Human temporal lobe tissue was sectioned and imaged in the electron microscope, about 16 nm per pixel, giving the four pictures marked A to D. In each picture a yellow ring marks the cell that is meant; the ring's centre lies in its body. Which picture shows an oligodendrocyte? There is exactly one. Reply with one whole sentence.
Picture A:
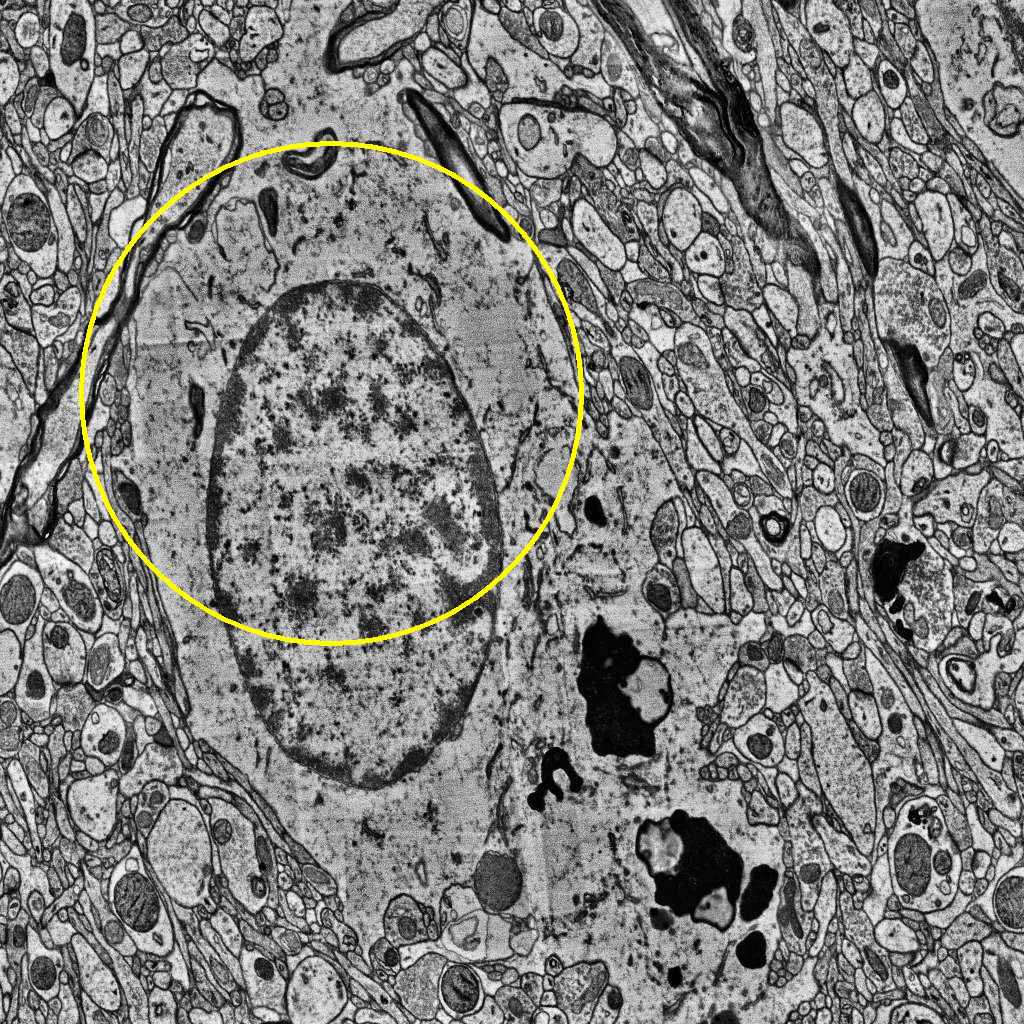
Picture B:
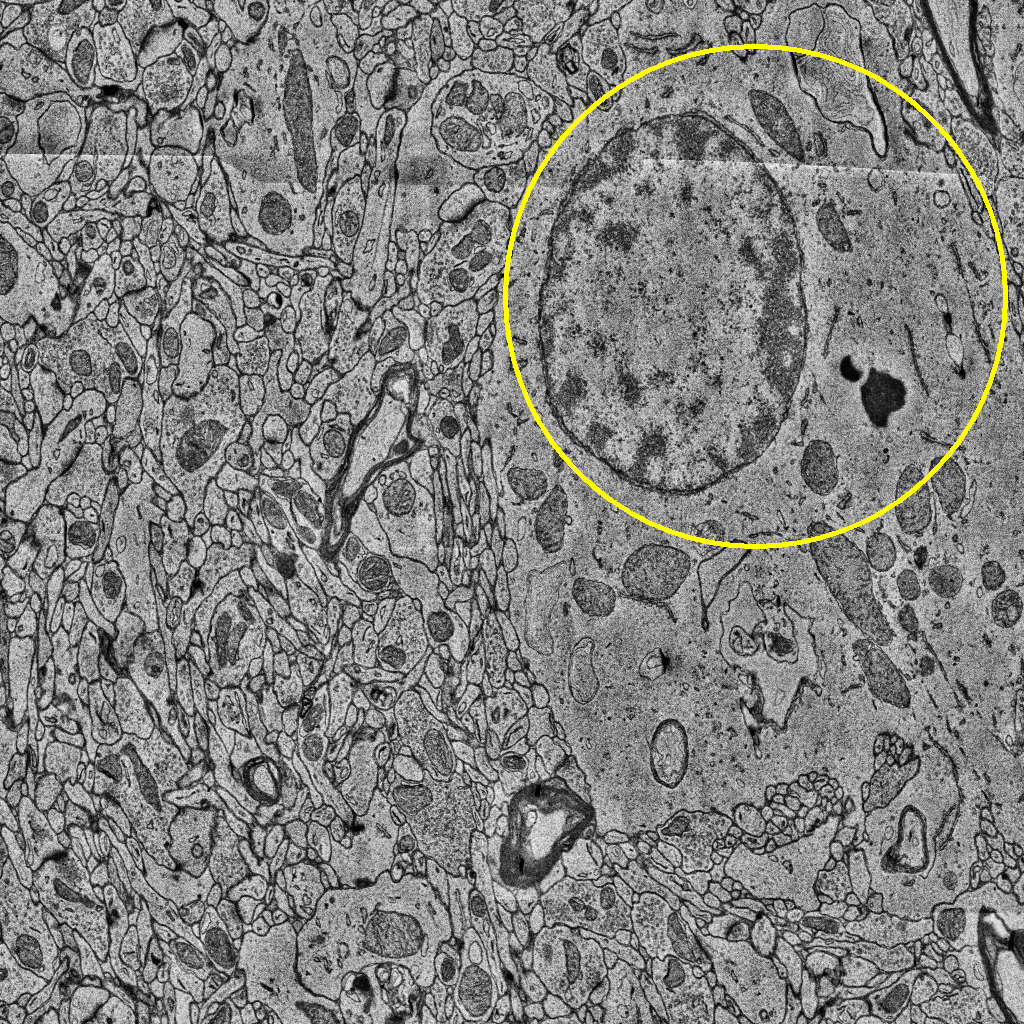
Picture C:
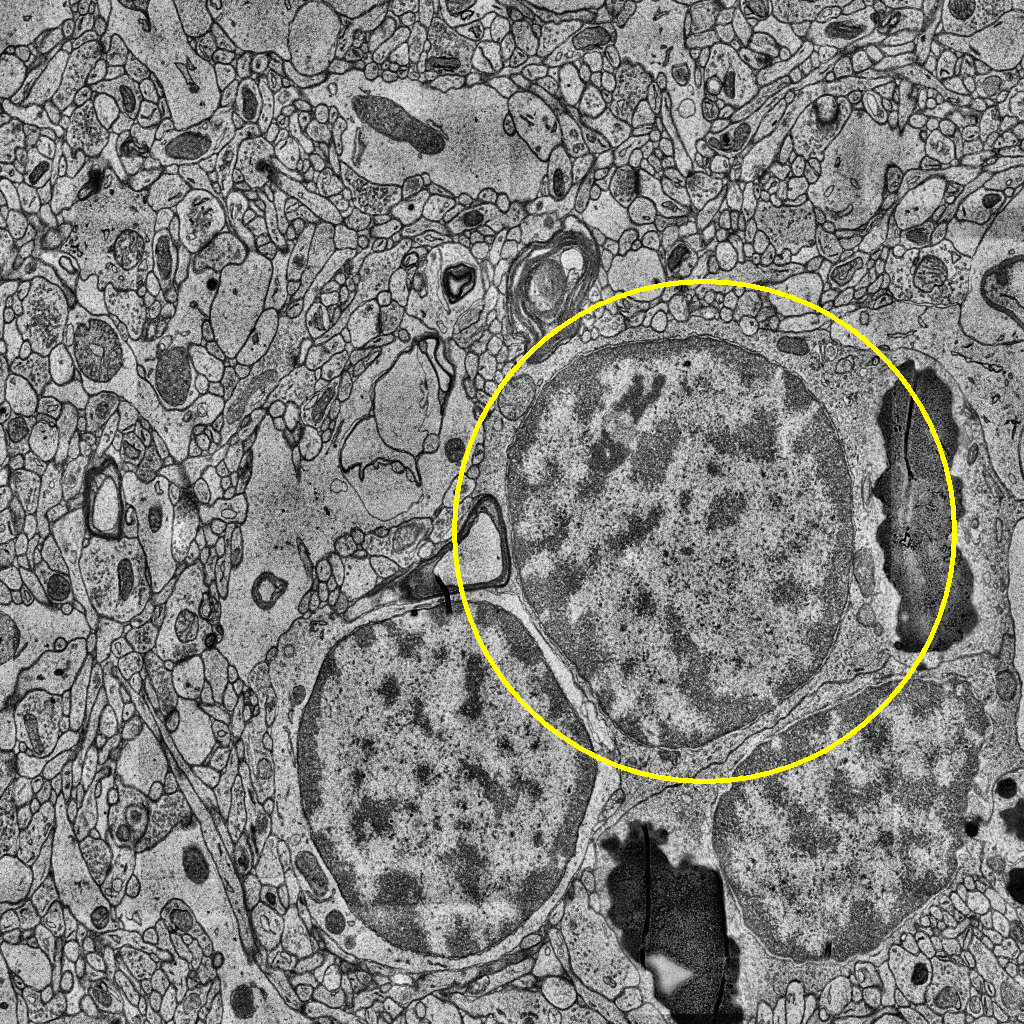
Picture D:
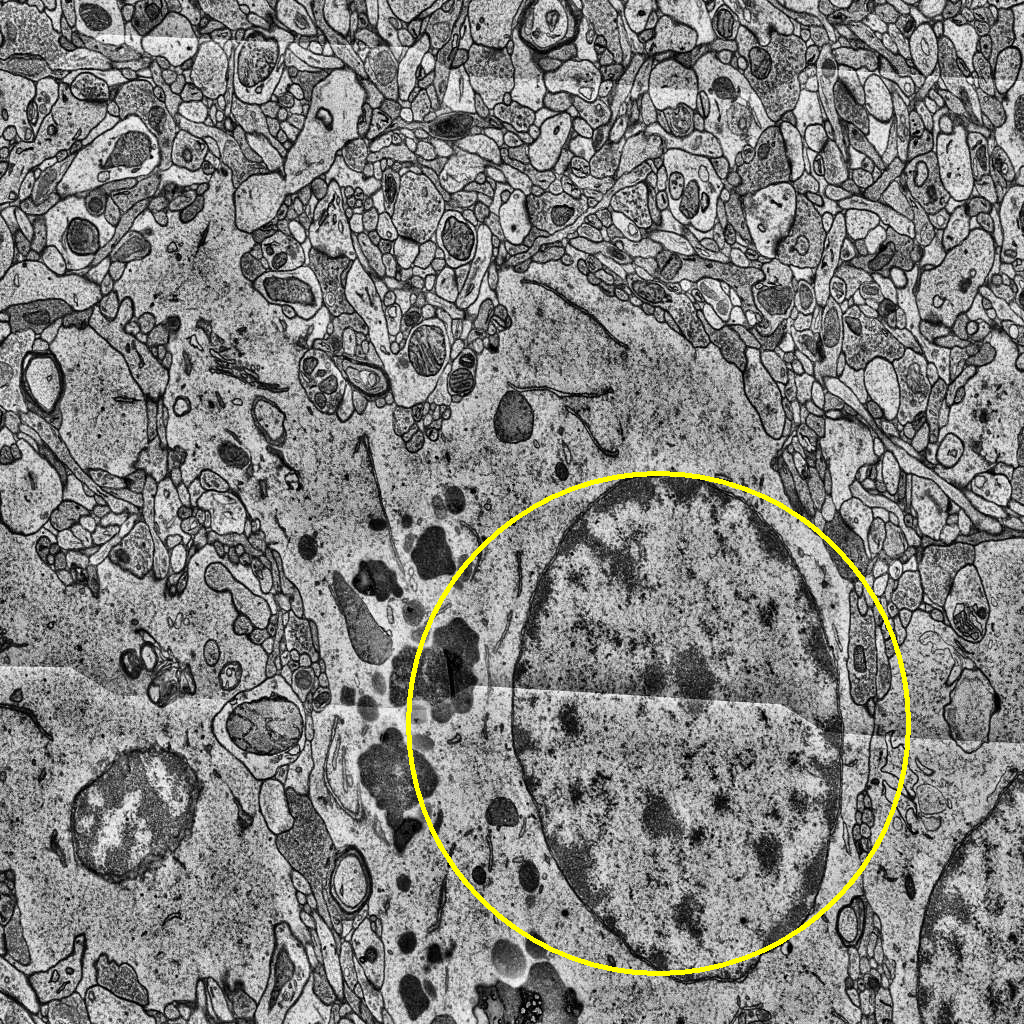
The oligodendrocyte is the one in picture C.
